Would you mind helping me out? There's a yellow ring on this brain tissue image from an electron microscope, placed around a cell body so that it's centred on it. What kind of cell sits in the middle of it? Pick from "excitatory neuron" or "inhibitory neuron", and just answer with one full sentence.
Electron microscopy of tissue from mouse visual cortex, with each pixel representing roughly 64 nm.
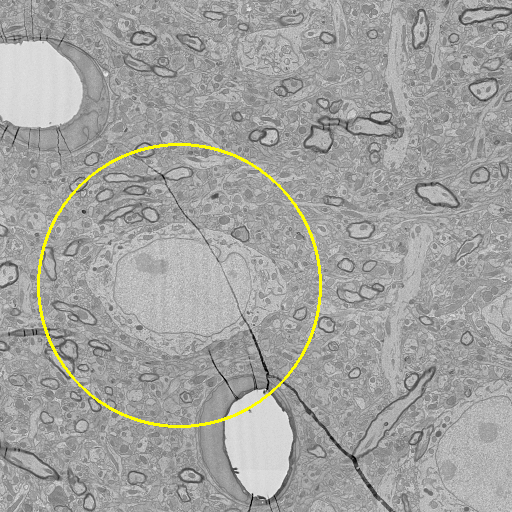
What sits in the middle of that yellow ring is an excitatory neuron, from your choices.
